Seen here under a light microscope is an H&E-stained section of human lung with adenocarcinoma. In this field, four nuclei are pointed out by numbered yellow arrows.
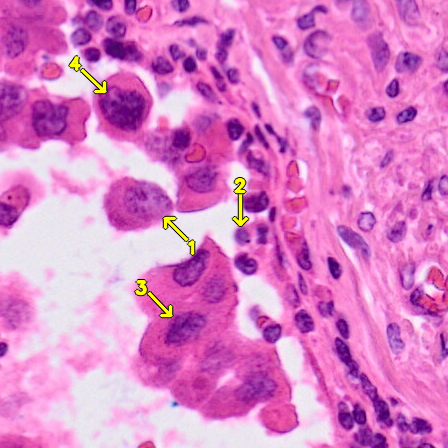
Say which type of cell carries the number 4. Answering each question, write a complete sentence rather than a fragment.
To a carcinoma cell belongs the nucleus marked 4.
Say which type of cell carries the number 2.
Denoted by the label 2 in the section is a lymphocyte.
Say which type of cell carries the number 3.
Regarding cell 3, this one is a carcinoma cell.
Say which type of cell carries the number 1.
Regarding cell 1, this one is a carcinoma cell.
